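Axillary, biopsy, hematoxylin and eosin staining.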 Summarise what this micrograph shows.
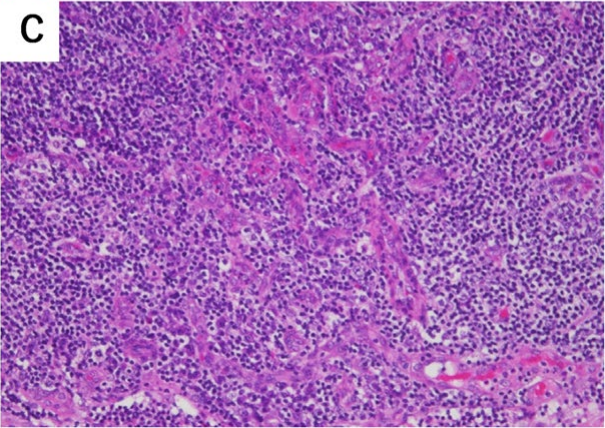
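This is lymph node tissue crowded with small dark lymphoid and plasma cells and crossed by many small blood vessels. The vessels have thickened pink walls and branch through the tissue in a network. Around them the cells lie densely packed, with small round dark nuclei and little cytoplasm. The normal follicle pattern is not evident in this field; instead the vessels give a meshwork appearance. A few vessels contain red blood cells.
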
